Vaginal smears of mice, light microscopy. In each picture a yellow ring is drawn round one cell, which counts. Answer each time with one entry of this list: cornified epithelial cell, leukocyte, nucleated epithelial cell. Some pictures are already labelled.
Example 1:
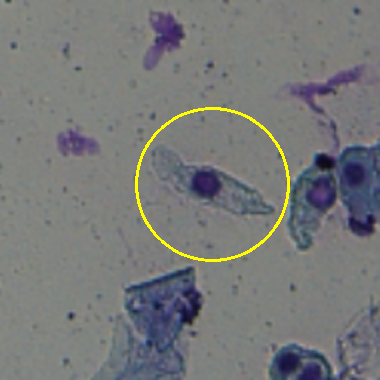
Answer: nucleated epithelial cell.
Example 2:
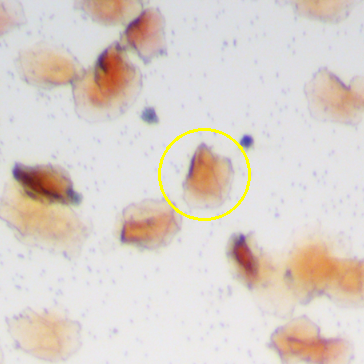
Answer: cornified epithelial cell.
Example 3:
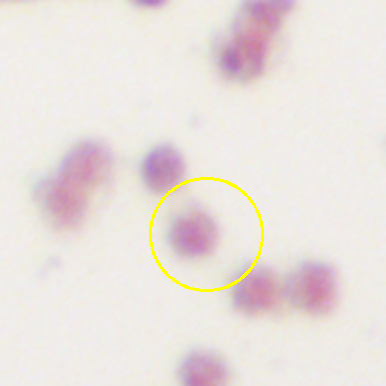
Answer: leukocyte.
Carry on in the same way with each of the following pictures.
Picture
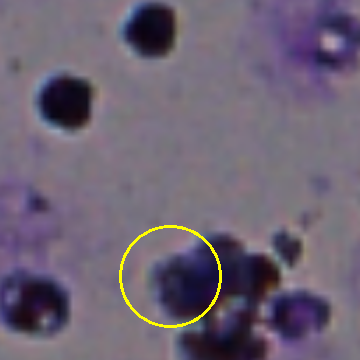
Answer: leukocyte.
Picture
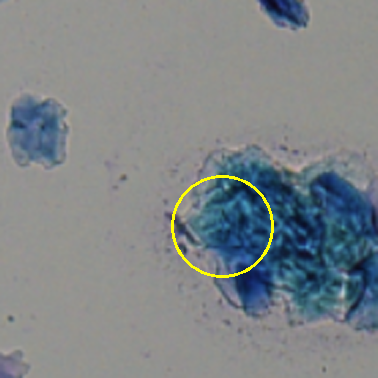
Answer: cornified epithelial cell.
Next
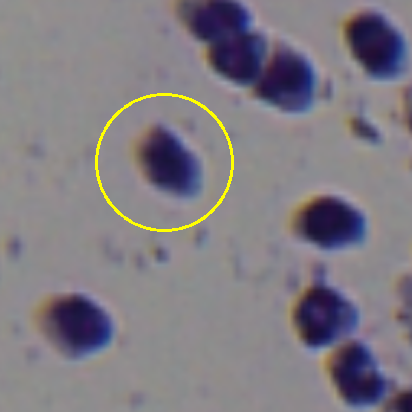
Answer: leukocyte.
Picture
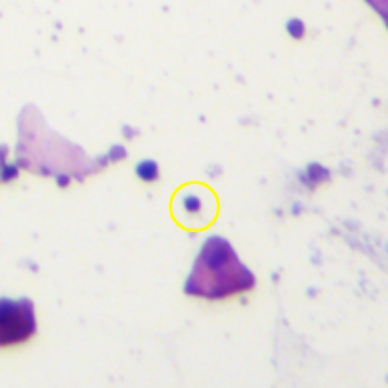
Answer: leukocyte.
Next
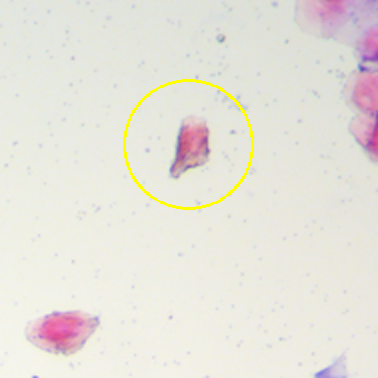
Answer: cornified epithelial cell.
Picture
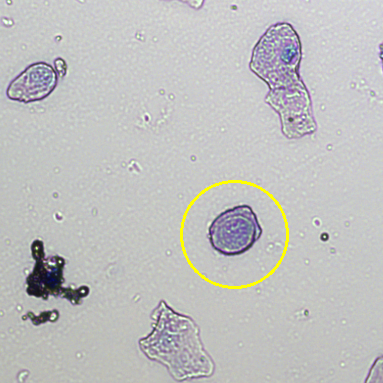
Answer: nucleated epithelial cell.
